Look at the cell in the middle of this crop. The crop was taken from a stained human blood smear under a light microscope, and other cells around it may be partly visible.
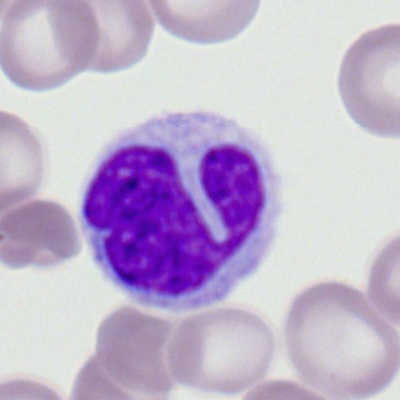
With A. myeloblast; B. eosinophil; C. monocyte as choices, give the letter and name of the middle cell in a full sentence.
Option C is right in identifying the central cell as a monocyte.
